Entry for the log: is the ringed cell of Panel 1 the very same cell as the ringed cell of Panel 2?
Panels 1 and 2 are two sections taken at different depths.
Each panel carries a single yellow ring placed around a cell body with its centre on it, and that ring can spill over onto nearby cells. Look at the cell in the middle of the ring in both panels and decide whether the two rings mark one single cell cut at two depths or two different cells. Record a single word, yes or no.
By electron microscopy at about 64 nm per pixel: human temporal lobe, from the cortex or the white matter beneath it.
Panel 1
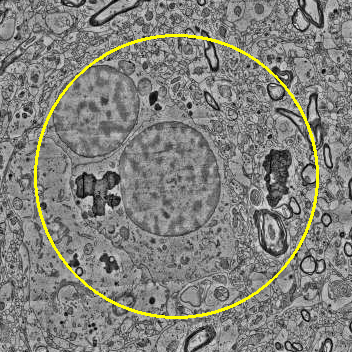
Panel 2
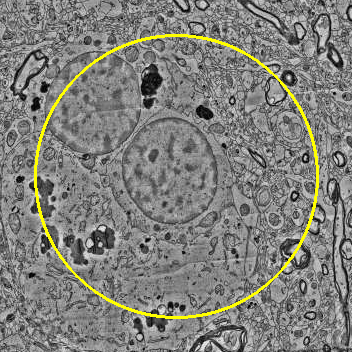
yes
